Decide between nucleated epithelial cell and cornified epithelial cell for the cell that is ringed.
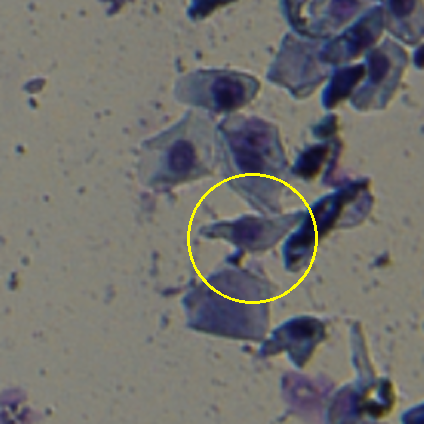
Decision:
I take the ringed cell for a nucleated epithelial cell.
